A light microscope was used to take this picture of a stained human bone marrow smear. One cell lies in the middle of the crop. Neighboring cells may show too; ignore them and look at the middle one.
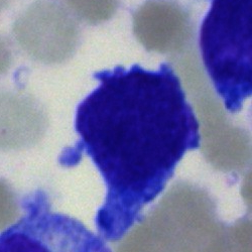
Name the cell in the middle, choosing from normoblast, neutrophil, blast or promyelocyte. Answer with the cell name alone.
blast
